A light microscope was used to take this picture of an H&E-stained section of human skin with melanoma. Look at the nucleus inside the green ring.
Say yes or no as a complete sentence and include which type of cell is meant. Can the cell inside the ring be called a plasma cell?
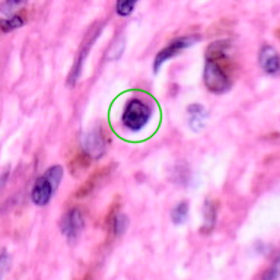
Yes, the cell inside the ring in this field is a plasma cell.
